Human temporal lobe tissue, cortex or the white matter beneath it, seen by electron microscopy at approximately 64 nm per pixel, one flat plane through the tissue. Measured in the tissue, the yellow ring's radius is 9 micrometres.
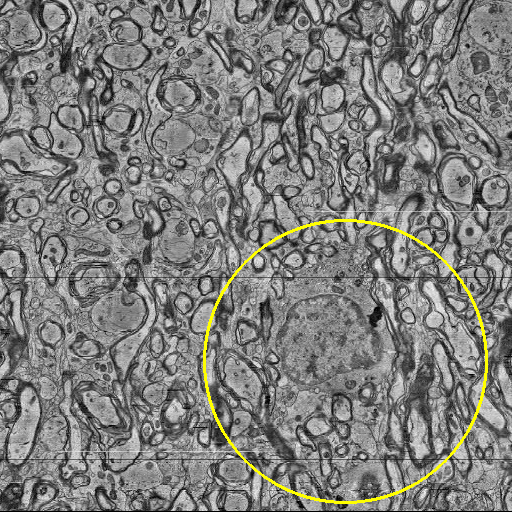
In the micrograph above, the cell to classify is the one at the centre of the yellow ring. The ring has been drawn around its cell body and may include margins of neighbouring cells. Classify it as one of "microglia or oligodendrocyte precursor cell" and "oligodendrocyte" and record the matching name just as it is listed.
oligodendrocyte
